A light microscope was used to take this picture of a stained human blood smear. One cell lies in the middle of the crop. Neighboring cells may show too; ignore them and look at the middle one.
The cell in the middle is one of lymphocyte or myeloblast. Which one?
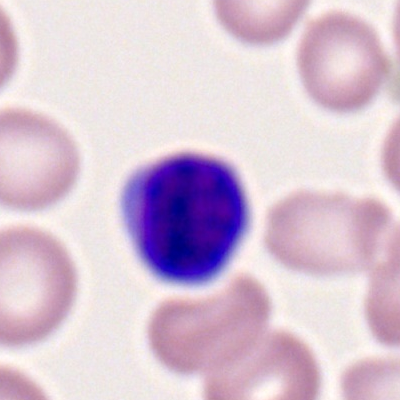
lymphocyte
